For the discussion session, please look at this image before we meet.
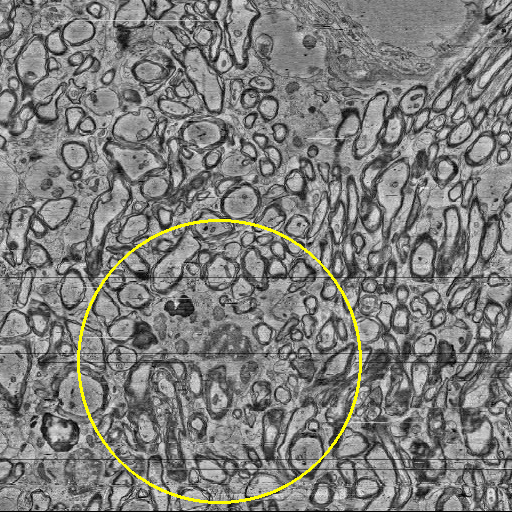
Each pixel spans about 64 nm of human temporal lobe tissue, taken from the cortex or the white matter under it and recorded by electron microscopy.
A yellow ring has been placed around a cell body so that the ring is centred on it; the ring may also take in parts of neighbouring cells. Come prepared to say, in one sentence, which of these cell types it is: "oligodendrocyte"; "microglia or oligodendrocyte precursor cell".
The cell centred in the ring is an oligodendrocyte.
